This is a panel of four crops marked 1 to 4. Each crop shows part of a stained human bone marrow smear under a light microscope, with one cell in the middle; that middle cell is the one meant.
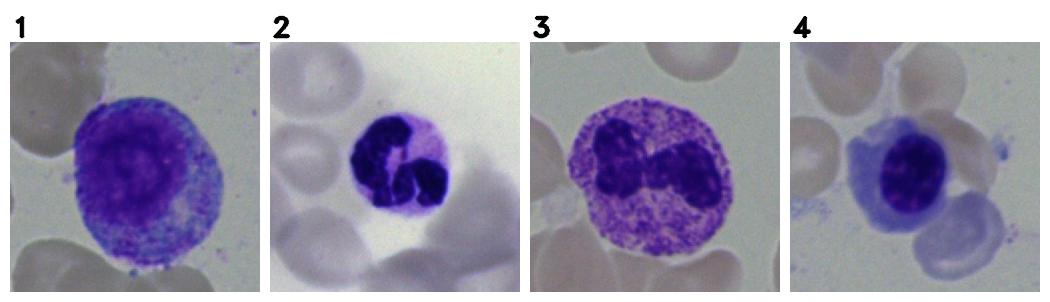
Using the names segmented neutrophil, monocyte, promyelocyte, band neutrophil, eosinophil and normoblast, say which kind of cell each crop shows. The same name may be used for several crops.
1: promyelocyte
2: segmented neutrophil
3: segmented neutrophil
4: normoblast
